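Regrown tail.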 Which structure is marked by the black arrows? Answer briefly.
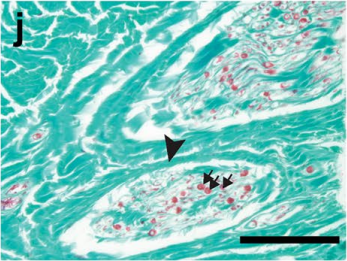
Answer: axons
